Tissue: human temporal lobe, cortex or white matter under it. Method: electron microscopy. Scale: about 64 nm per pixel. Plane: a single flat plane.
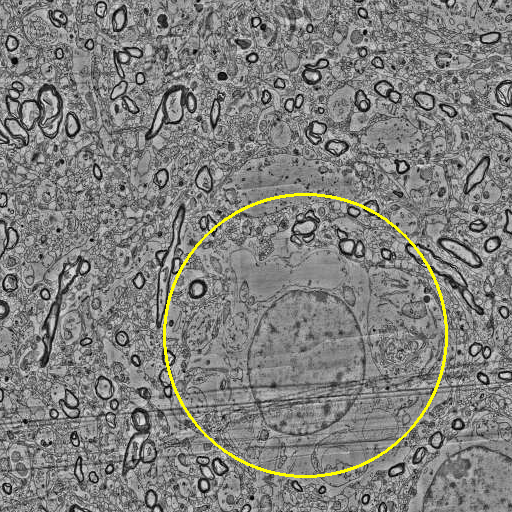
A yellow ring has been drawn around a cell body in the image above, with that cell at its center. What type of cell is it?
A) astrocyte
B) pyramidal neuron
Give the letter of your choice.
A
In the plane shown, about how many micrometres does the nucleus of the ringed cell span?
The nucleus has a long axis of about 9 micrometres and a short axis of about 8 micrometres in this plane.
